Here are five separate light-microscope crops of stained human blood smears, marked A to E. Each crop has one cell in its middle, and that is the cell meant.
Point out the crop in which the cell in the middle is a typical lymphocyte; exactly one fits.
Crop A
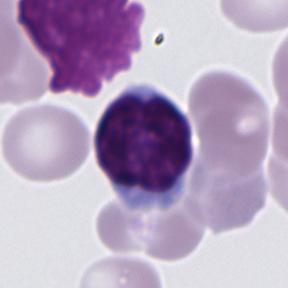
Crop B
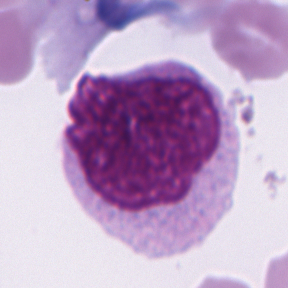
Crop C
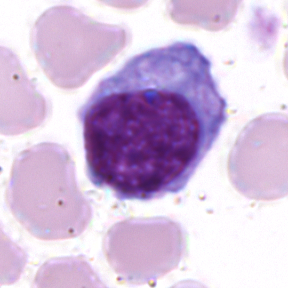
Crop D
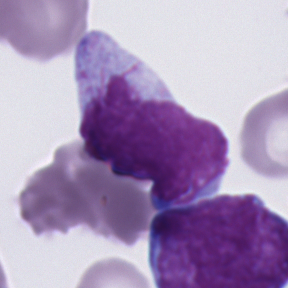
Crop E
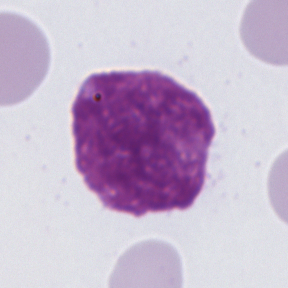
A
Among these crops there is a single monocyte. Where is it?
B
